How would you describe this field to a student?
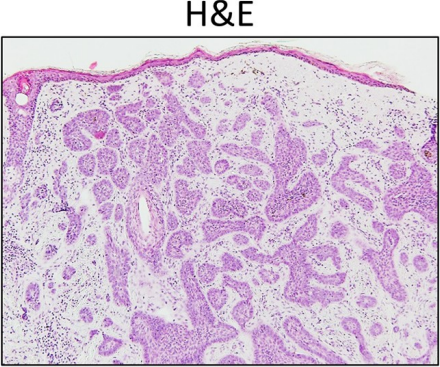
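This is skin, with a thin epidermis along the top, and the dermis below it is taken up by a basal cell carcinoma. The islands lie in a loose, pale pink stroma that separates them from each other. A small vessel can be seen within the stroma among the tumour islands.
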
